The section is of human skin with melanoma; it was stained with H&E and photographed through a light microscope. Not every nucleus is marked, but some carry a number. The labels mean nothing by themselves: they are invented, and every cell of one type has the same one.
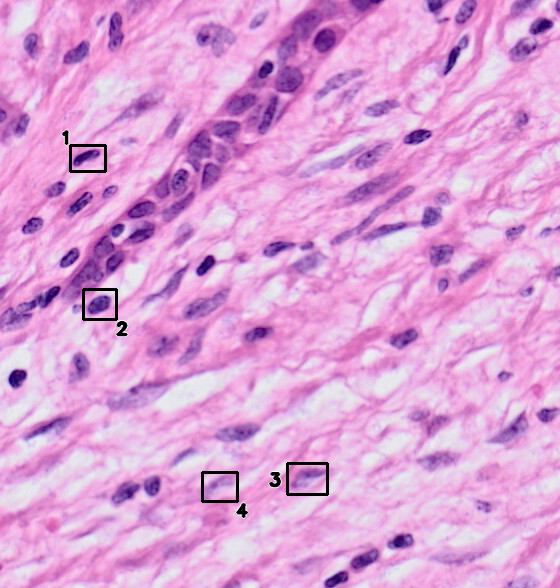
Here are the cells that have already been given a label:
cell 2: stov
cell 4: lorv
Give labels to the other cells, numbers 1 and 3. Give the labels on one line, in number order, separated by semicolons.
stov; lorv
